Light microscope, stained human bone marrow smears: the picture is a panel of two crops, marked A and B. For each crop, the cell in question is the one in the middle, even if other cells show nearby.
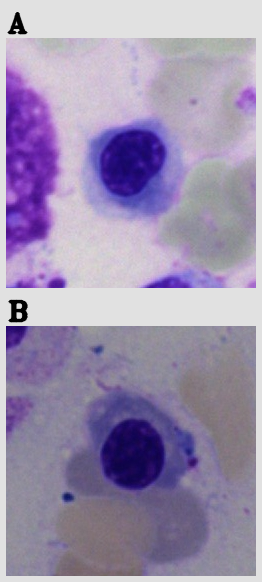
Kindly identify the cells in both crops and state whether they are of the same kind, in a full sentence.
Yes, erythroblasts are depicted in both crops.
